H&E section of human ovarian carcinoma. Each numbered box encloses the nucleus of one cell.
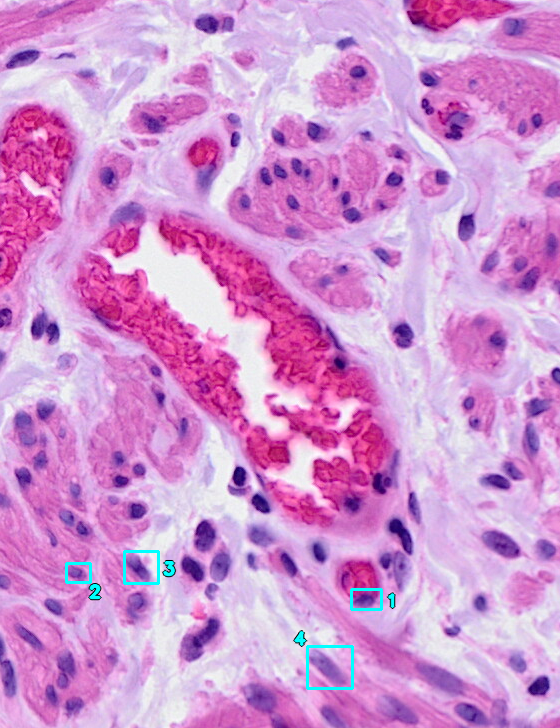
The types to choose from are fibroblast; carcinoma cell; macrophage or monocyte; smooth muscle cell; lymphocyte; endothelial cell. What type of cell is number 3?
smooth muscle cell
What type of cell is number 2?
smooth muscle cell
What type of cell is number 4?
smooth muscle cell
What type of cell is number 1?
endothelial cell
